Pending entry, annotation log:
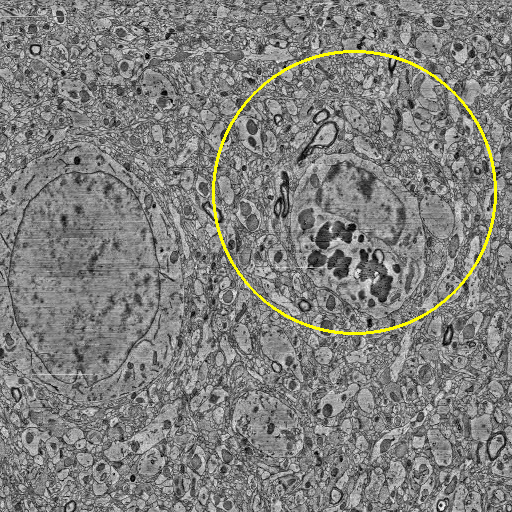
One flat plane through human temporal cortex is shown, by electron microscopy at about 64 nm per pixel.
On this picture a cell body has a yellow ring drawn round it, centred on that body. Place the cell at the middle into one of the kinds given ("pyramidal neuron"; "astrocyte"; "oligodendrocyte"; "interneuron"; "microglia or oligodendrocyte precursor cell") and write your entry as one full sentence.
The cell body at the middle of the yellow ring belongs to an interneuron.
